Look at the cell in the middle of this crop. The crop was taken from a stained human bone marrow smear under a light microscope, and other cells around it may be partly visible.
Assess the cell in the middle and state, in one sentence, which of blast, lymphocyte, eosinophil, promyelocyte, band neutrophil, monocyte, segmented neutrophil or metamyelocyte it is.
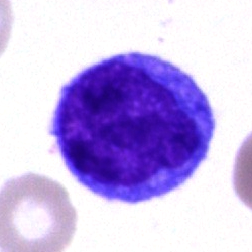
At the middle of the frame sits a blast.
